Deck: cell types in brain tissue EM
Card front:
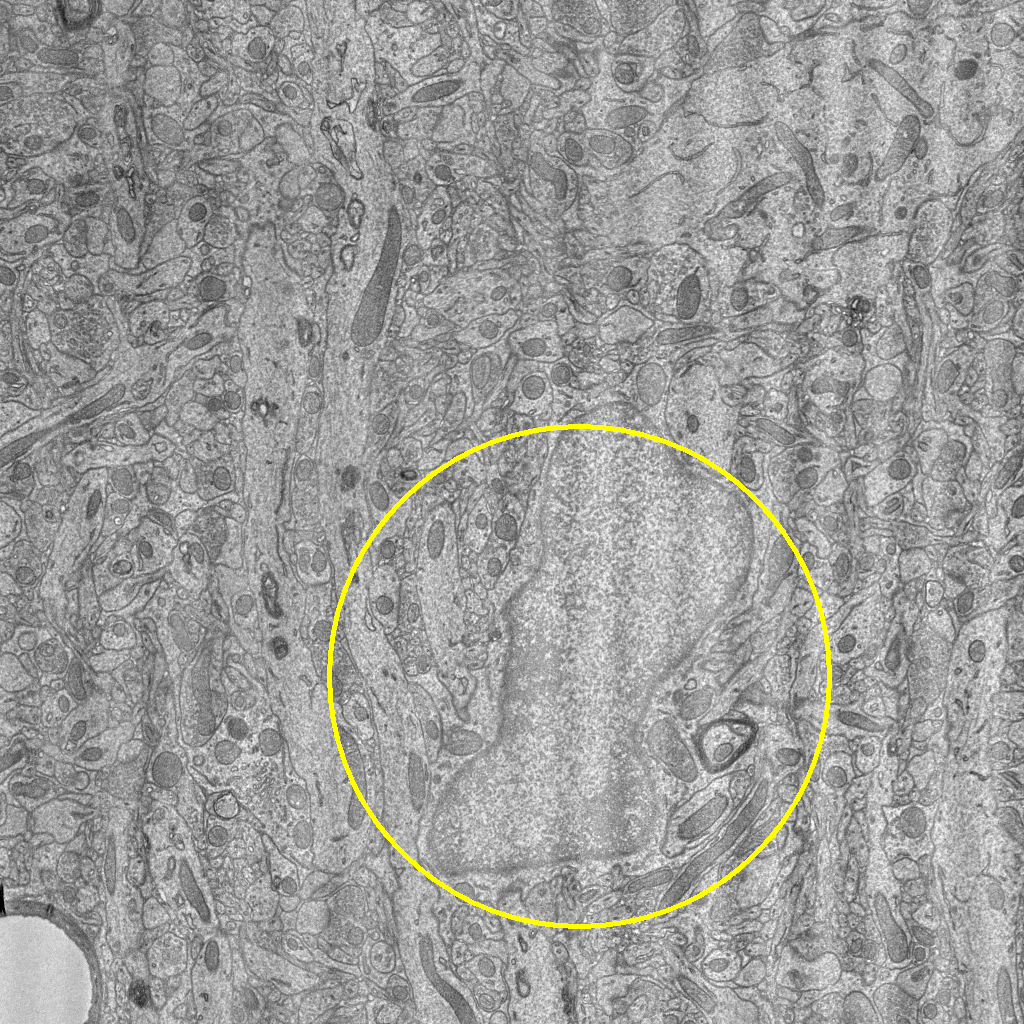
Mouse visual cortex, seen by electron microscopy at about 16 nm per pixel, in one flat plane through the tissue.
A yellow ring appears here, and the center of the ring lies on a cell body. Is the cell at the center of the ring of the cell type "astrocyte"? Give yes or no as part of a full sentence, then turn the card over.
Yes, on this card the center of the yellow ring lies on a cell of that type.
